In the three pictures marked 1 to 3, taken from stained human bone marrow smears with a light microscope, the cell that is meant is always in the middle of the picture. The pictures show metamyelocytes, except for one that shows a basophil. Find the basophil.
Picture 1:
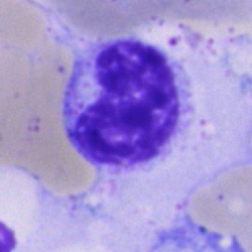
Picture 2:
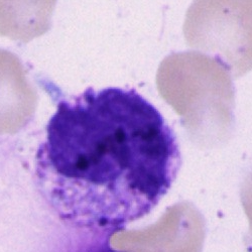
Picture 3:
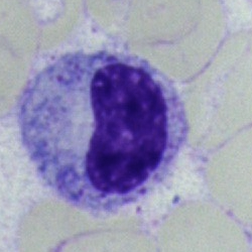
2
